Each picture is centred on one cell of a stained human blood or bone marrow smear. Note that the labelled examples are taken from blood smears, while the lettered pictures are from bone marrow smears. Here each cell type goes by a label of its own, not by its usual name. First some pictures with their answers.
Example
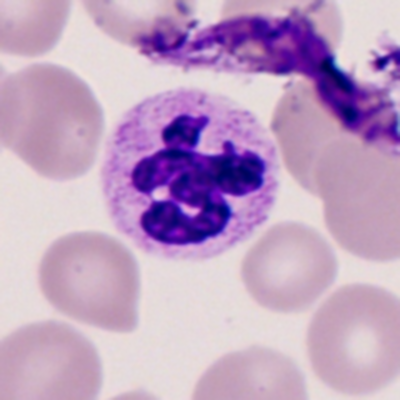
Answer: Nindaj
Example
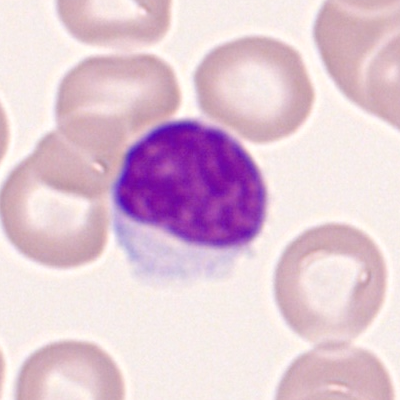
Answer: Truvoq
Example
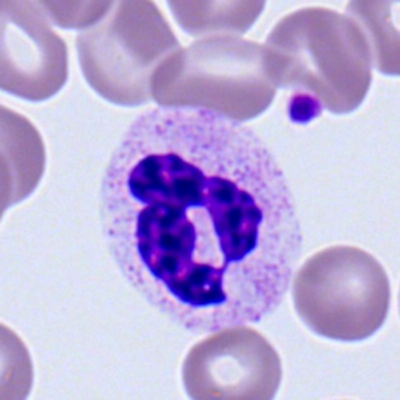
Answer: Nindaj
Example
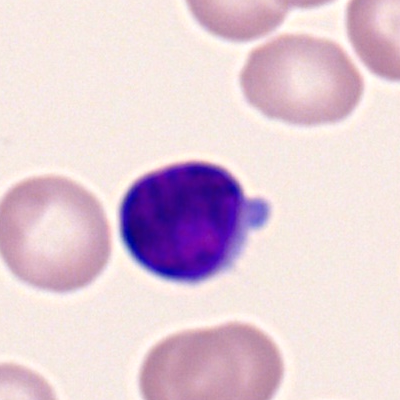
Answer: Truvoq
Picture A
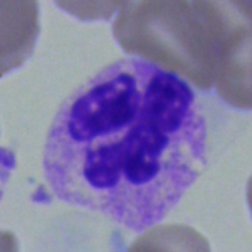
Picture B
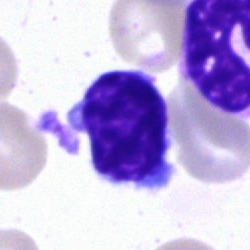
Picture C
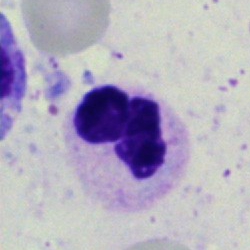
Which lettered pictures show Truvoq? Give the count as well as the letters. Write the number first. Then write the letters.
1, namely B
